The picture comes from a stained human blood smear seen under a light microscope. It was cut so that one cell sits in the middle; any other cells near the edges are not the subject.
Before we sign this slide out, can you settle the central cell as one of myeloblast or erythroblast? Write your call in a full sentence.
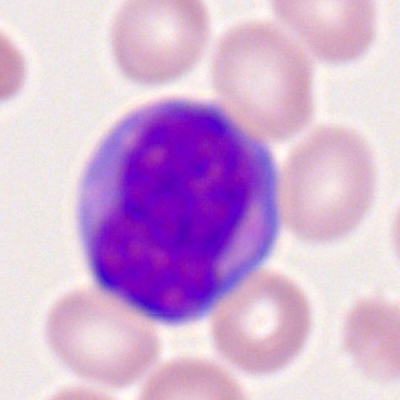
The cell positioned in the middle of the field is a myeloblast.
